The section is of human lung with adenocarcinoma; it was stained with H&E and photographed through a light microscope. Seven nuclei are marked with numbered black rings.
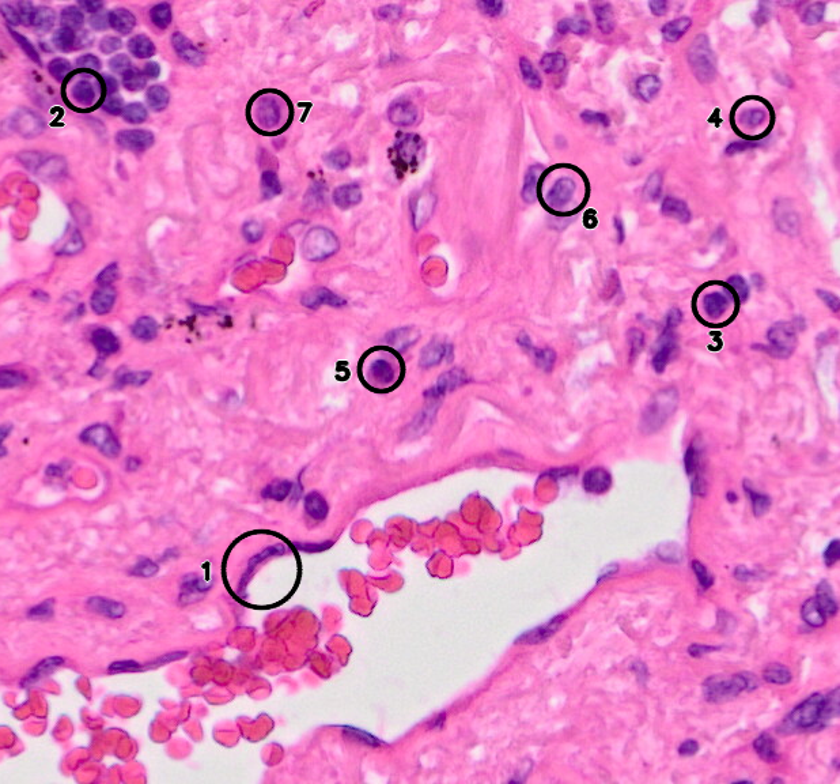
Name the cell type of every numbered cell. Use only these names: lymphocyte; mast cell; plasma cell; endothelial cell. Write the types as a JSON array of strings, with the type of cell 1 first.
["endothelial cell", "lymphocyte", "lymphocyte", "mast cell", "plasma cell", "lymphocyte", "plasma cell"]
